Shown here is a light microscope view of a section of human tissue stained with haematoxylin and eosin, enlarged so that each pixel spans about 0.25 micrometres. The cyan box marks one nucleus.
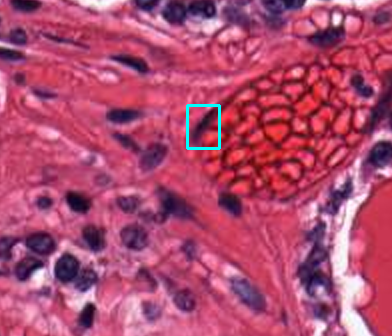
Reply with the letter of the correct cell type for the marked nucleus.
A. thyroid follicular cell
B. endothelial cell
B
